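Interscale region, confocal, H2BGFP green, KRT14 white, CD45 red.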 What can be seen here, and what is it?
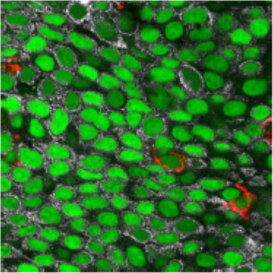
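This en face view of the basal layer of the epidermis shows densely packed keratinocytes. Nearly every cell contains a round to oval nucleus brightly filled with green fluorescence. The cytoplasm forms thin white rims around the nuclei, giving a cobblestone mosaic of polygonal cells. A few red-stained cells with irregular outlines lie among the keratinocytes.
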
